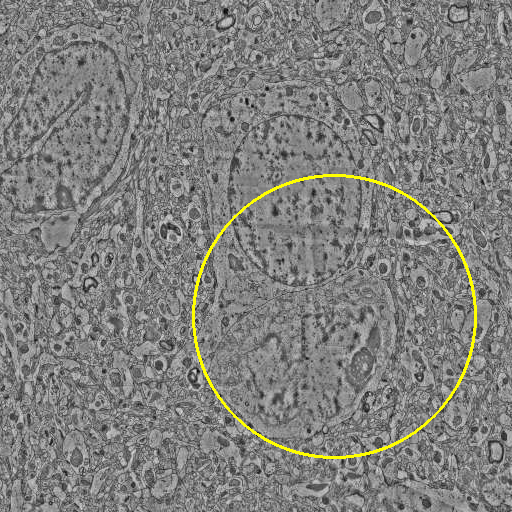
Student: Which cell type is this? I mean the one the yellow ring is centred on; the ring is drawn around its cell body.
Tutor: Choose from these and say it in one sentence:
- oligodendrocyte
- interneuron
The cell the ring is centred on is an interneuron.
